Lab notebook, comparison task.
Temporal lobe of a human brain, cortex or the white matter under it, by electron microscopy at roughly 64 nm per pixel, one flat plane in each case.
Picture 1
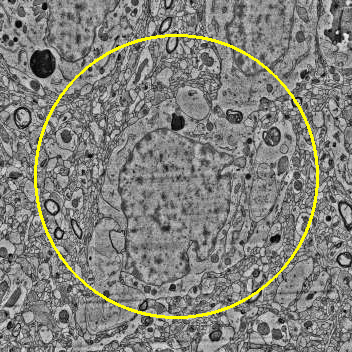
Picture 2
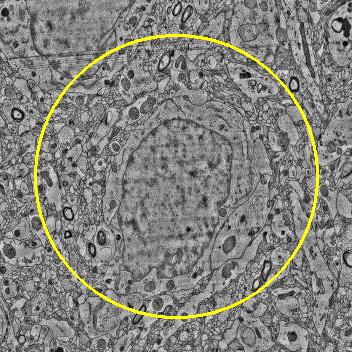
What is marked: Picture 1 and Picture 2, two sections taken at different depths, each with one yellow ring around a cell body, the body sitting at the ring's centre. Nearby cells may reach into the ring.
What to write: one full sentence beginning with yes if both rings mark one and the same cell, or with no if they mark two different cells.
Yes, a single cell lies behind both yellow marks.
